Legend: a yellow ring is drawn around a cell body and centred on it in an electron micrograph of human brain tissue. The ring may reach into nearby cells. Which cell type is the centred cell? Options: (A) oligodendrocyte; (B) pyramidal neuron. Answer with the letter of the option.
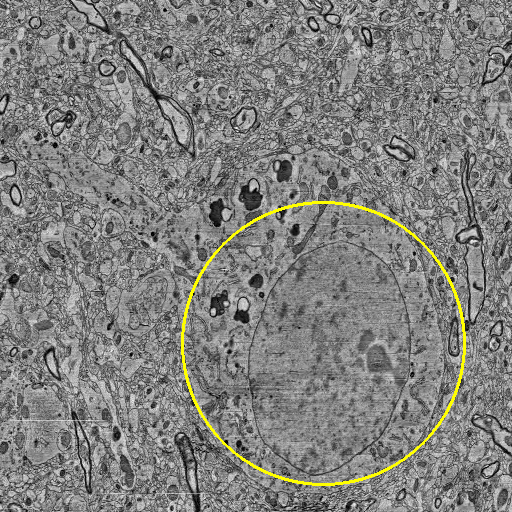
B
